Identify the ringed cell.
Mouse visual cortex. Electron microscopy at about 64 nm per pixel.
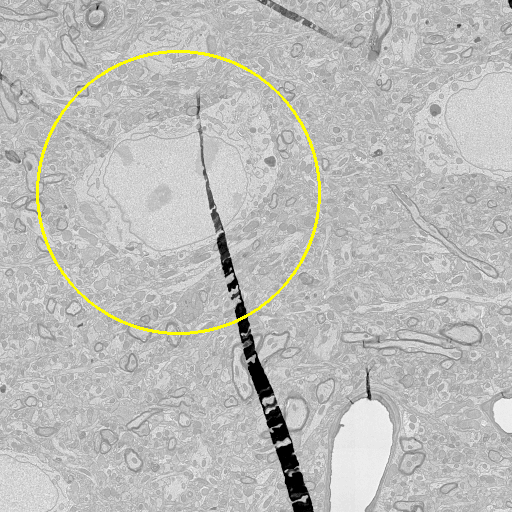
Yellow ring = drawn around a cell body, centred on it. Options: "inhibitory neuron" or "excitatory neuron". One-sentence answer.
What the ring is centred on is an excitatory neuron.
